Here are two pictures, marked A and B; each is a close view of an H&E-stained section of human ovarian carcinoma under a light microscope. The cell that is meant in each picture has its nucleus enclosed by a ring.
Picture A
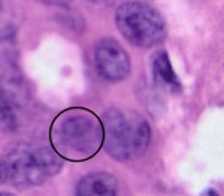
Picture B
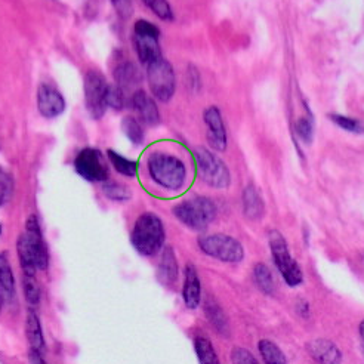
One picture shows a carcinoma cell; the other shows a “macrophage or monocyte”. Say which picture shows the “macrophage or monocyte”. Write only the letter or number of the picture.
B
